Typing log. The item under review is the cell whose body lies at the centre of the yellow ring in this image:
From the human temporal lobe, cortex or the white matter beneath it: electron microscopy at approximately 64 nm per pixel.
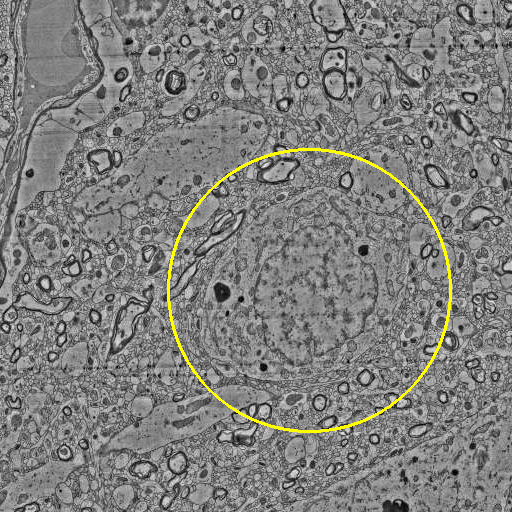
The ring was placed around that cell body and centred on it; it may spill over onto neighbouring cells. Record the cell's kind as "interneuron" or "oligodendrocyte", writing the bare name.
interneuron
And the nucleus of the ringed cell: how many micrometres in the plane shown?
About 9 micrometres by about 8 micrometres in this plane.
